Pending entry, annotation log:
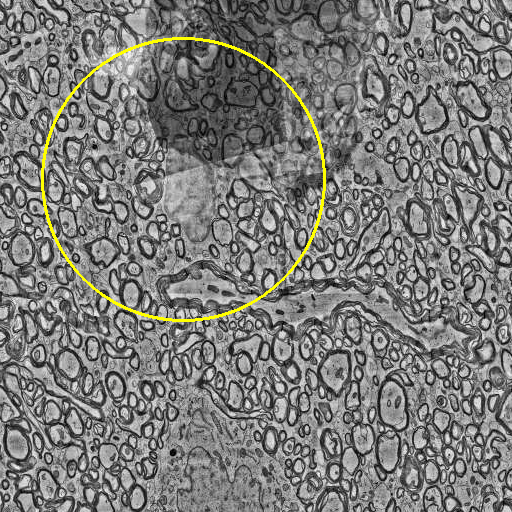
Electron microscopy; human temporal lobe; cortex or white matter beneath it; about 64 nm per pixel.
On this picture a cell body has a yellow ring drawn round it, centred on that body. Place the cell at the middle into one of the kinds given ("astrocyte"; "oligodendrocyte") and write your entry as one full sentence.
The cell body at the middle of the yellow ring belongs to an oligodendrocyte.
